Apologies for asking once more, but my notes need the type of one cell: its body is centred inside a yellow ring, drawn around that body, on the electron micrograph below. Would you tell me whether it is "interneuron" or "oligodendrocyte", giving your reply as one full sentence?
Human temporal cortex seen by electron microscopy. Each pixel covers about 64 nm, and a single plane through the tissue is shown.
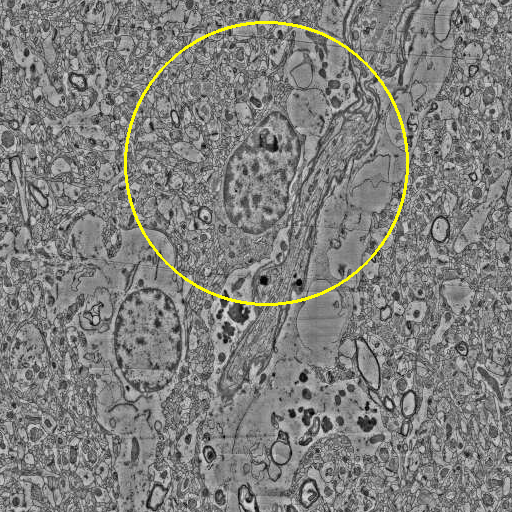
The cell that the yellow ring is centred on is an oligodendrocyte in this micrograph.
